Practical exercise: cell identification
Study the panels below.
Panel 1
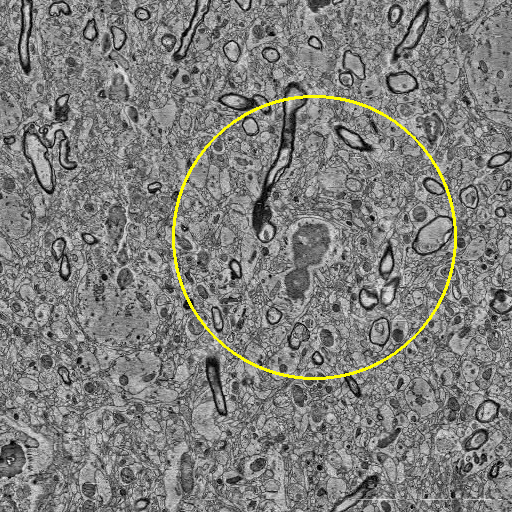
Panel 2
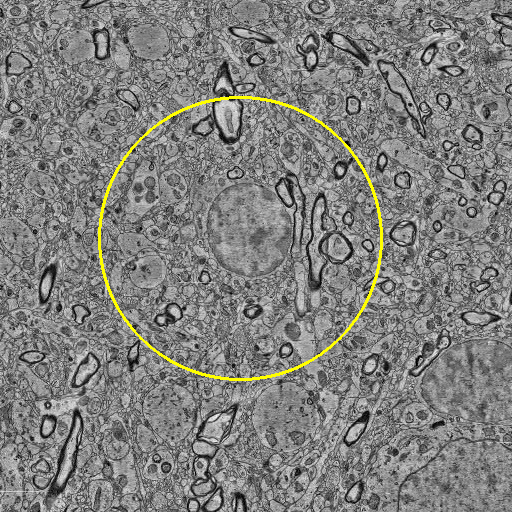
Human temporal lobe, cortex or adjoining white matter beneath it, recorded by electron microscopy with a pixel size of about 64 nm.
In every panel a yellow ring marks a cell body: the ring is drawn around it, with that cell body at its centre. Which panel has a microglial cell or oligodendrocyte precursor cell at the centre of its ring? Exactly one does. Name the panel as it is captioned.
Panel 1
